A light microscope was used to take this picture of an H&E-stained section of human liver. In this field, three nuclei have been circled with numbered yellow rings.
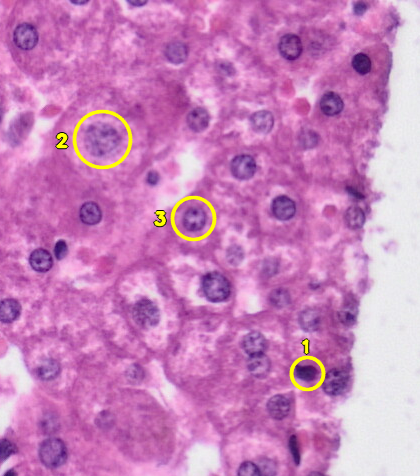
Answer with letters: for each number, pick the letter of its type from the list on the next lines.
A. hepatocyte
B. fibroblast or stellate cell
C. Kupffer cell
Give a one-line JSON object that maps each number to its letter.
{"1": "B", "2": "A", "3": "A"}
